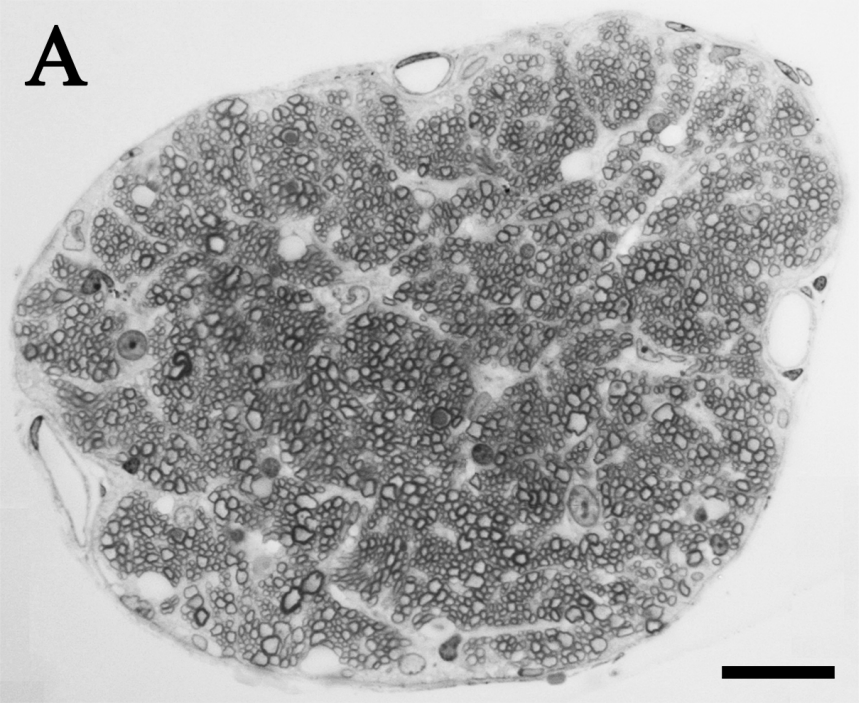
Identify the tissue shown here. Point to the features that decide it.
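Optic nerve. A whole oval cross-section bounded by a thin outer sheath. The interior is packed with small ring-shaped profiles. Pale septa divide the packed profiles into bundles.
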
